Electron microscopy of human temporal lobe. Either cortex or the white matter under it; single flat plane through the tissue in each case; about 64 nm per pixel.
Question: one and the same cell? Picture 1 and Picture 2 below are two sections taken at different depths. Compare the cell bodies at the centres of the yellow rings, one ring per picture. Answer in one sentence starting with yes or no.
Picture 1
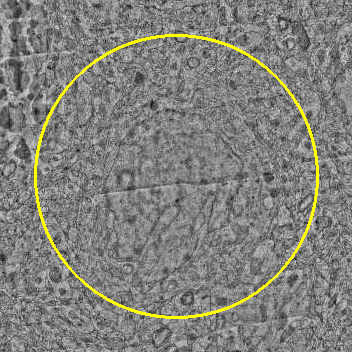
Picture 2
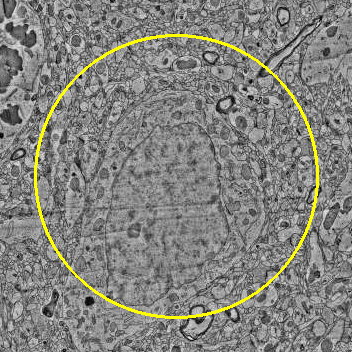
Yes, these two rings point to one cell rather than two.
